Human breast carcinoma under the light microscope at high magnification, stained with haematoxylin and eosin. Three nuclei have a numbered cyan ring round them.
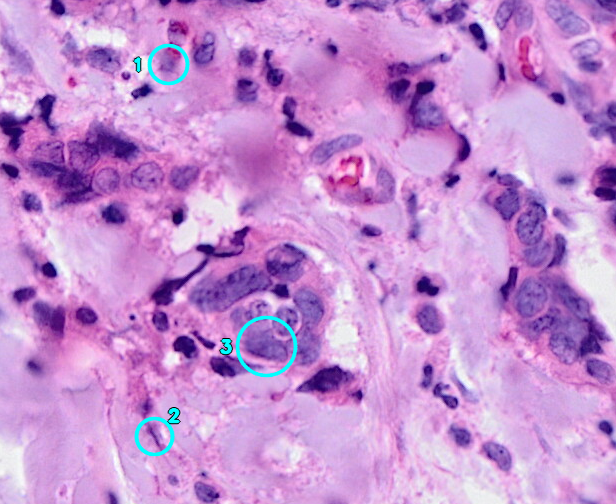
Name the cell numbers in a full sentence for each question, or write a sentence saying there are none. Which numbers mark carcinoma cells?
Among the marked cells, cell number 3 alone is a carcinoma cell.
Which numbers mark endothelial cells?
Cell 1 represents an endothelial cell, and no other numbered cell does.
